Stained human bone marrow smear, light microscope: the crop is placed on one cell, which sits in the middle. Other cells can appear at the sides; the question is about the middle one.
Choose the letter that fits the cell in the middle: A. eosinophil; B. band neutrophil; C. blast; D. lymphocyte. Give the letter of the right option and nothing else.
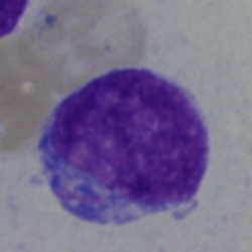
C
